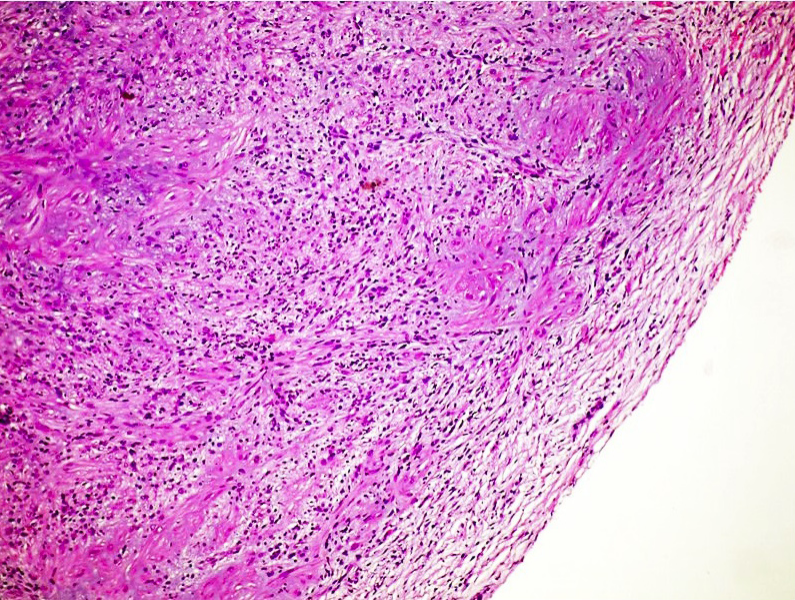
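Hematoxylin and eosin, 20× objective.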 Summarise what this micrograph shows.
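The lesion is a spindle cell lesion with alternating areas of mature myofibroblastic cells and more cellular immature mesenchyme. The myofibroblastic areas form pale pink, somewhat hyalinized nodules and fascicles of plump spindle cells with eosinophilic cytoplasm and fairly few nuclei. Between them lie more cellular areas of small cells with dark, oval to round nuclei and scant cytoplasm, set in a looser, pale background. Toward the lower right edge the tissue becomes a band of loosely arranged, elongated spindle cells in wavy pink fibres. A few small brown granules lie scattered in the tissue.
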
